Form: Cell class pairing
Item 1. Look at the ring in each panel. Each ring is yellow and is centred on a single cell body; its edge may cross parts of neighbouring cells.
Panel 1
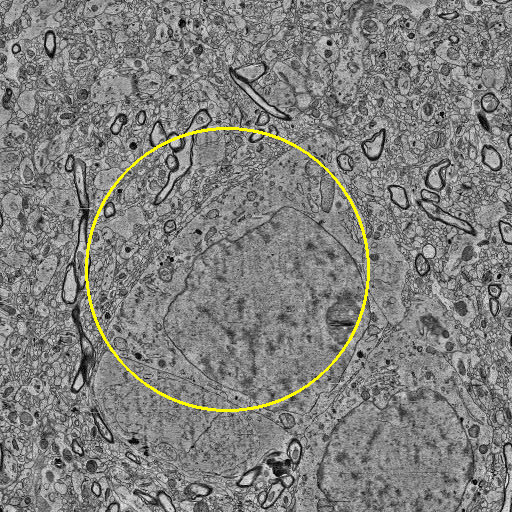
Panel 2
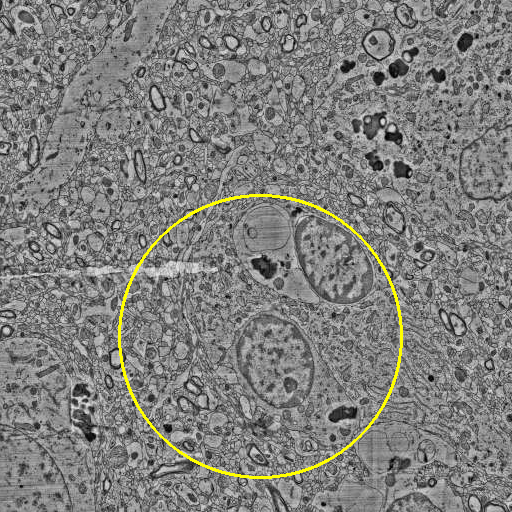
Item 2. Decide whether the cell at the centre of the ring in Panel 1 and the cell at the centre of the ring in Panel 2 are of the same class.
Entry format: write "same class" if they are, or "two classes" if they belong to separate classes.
two classes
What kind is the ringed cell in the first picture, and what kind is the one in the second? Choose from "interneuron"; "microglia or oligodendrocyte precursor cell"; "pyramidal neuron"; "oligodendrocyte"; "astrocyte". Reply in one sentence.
The first cell is a pyramidal neuron; the second is an oligodendrocyte.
